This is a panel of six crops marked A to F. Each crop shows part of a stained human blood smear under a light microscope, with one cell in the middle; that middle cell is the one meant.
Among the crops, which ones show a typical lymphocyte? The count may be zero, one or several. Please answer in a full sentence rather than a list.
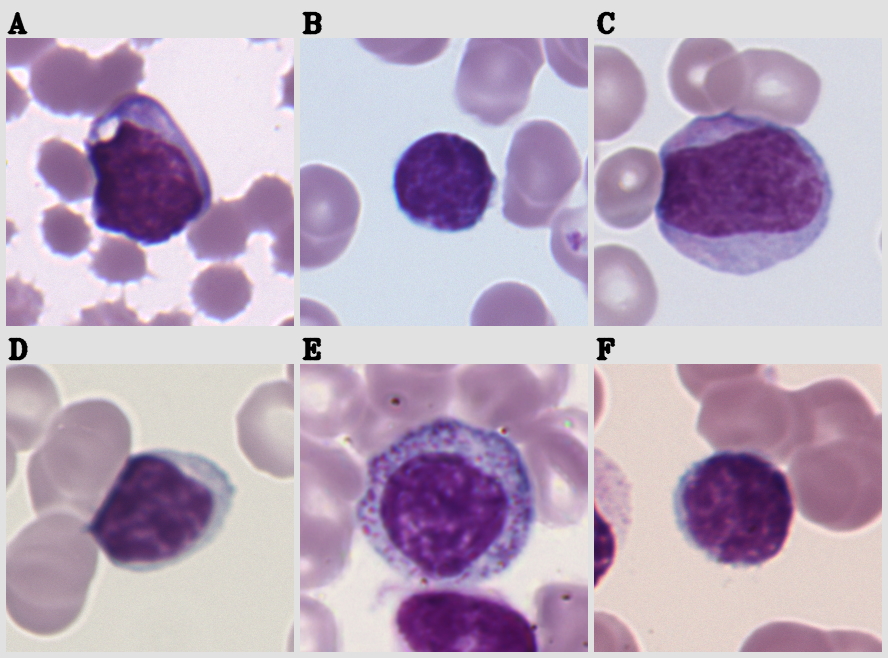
What crops A, B, D and F show in the centre are typical lymphocytes.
